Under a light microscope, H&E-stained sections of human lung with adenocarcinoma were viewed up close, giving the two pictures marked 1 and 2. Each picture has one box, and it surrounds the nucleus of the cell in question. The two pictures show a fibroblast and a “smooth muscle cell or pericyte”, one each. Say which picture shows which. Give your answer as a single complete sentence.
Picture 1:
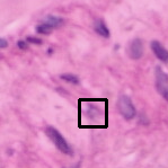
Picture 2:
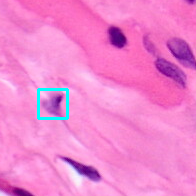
Picture 1 shows a “smooth muscle cell or pericyte” and picture 2 shows a fibroblast.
